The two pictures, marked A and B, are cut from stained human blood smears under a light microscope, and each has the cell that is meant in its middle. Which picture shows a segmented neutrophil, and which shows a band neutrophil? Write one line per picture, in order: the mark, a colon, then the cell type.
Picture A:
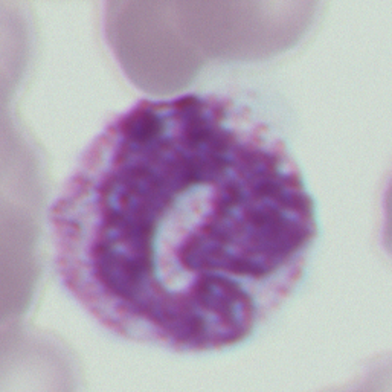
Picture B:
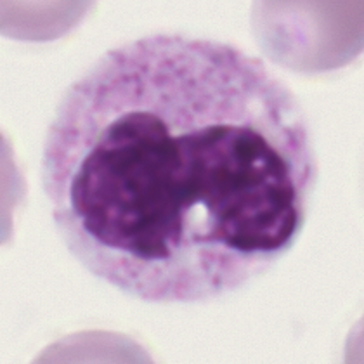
A: segmented neutrophil
B: band neutrophil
